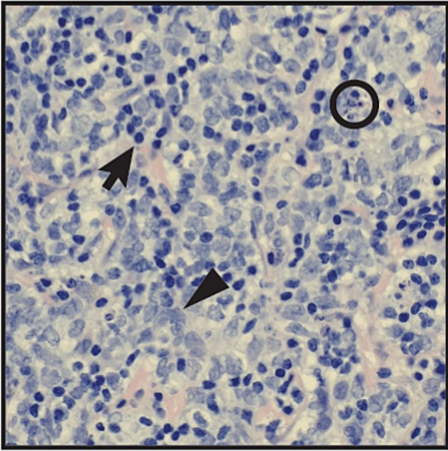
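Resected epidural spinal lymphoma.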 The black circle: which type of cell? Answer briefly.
Apoptotic cells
